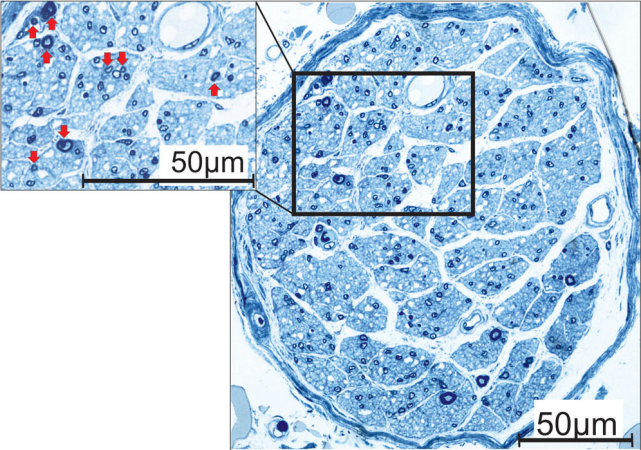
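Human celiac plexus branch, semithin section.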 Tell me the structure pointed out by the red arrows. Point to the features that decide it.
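The arrows point to small round profiles with a dark blue ring around a pale center. These ringed profiles are scattered among paler, finely textured areas. On this evidence: myelinated axons.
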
